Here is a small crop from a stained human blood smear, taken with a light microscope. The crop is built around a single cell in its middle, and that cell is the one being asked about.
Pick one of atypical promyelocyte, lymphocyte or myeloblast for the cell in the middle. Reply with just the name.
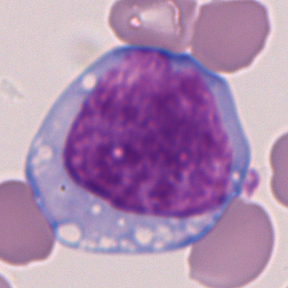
myeloblast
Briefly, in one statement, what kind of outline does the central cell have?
The membrane contour is even and smooth, with nothing projecting from it.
